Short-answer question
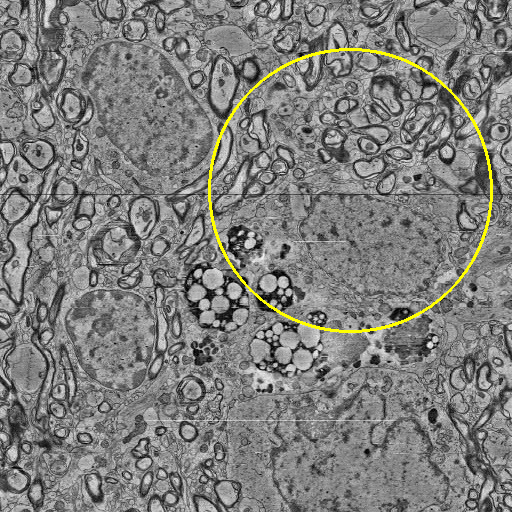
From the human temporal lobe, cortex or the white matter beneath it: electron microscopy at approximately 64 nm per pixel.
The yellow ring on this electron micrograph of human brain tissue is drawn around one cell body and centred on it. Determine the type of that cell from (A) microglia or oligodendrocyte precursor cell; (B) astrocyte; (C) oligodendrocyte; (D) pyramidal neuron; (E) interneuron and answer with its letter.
B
